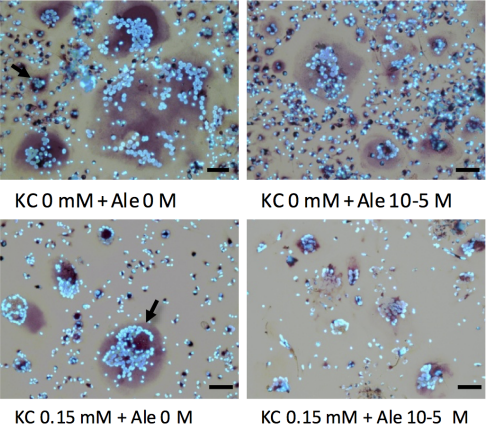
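Four fields of a culture show scattered small round mononuclear cells and, among them, large flat cells with purple-red cytoplasm. Many of the large cells hold tight clusters of numerous pale bluish round nuclei, so they are multinucleated, and some are much bigger than others. The large red cells with many nuclei are osteoclasts, and the fields differ in how many of them appear and how big they are, with the lower right field showing few and faint ones.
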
